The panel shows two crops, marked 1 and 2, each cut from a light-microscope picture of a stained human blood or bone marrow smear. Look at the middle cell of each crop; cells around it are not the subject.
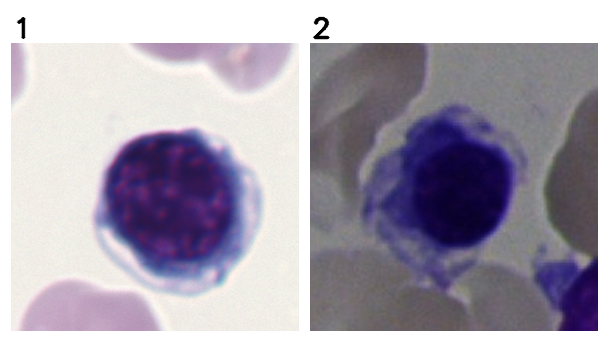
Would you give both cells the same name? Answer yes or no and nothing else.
yes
